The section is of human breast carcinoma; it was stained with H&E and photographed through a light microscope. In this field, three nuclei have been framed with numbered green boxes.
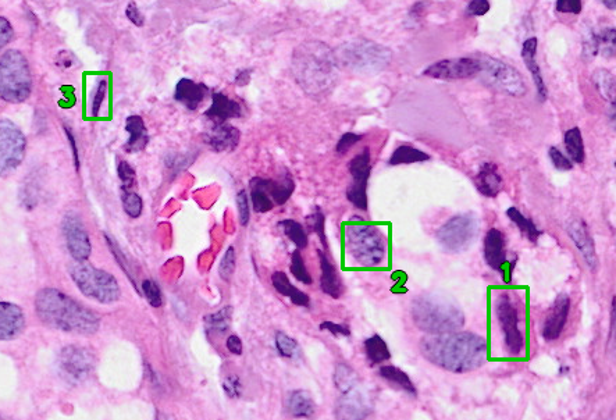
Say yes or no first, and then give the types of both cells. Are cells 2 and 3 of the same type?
No, the identities are a carcinoma cell for cell 2 and a fibroblast for cell 3.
